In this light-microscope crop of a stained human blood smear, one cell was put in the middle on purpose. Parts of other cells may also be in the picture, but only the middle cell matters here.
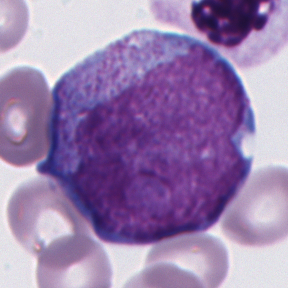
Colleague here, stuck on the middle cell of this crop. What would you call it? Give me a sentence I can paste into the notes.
Within this crop, a promyelocyte occupies the central position.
